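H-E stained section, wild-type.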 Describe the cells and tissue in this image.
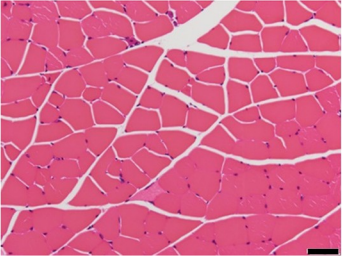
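This cross section of skeletal muscle shows closely packed myofibers cut transversely as polygonal profiles with evenly pink cytoplasm. Small dark purple nuclei lie at the periphery of the fibers, pressed against their borders. The fibers are grouped into bundles separated by white clefts and thin connective tissue septa.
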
